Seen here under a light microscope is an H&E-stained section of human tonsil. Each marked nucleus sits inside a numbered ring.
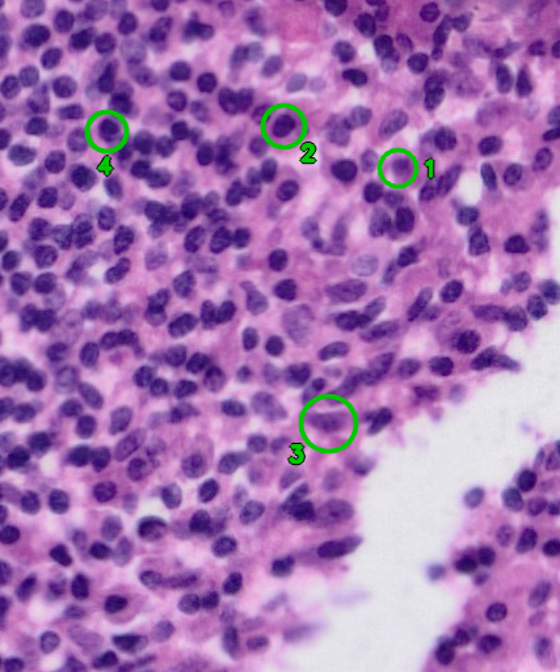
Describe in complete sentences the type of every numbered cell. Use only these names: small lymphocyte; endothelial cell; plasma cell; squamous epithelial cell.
Cells 1 and 2 are plasma cells. Cell 3 is a squamous epithelial cell. Cell 4 is a small lymphocyte.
